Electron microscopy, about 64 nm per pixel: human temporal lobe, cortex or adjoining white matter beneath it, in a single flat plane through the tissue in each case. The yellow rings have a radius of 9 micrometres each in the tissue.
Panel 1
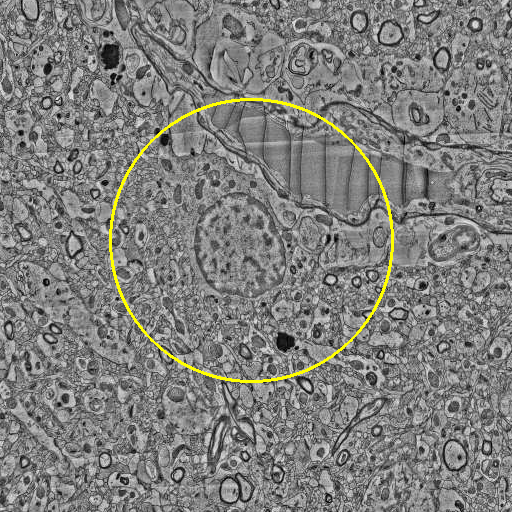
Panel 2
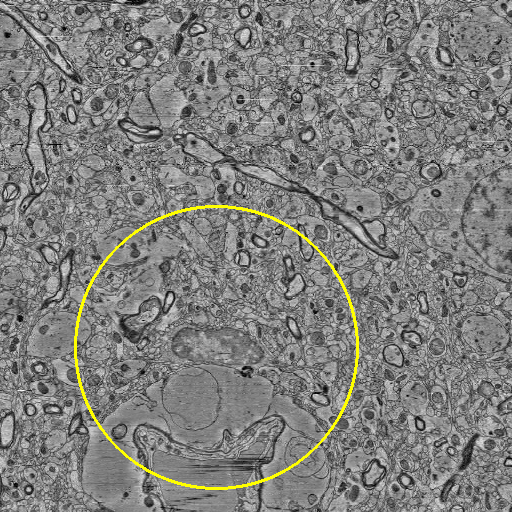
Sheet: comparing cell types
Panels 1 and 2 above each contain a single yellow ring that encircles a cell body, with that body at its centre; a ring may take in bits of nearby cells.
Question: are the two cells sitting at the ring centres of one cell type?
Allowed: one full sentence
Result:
Yes, the ring-centre cells in Panel 1 and Panel 2 are of one type.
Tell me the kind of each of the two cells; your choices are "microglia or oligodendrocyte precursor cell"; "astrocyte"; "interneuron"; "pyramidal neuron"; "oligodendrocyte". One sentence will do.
Each of the two rings is centred on an oligodendrocyte.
